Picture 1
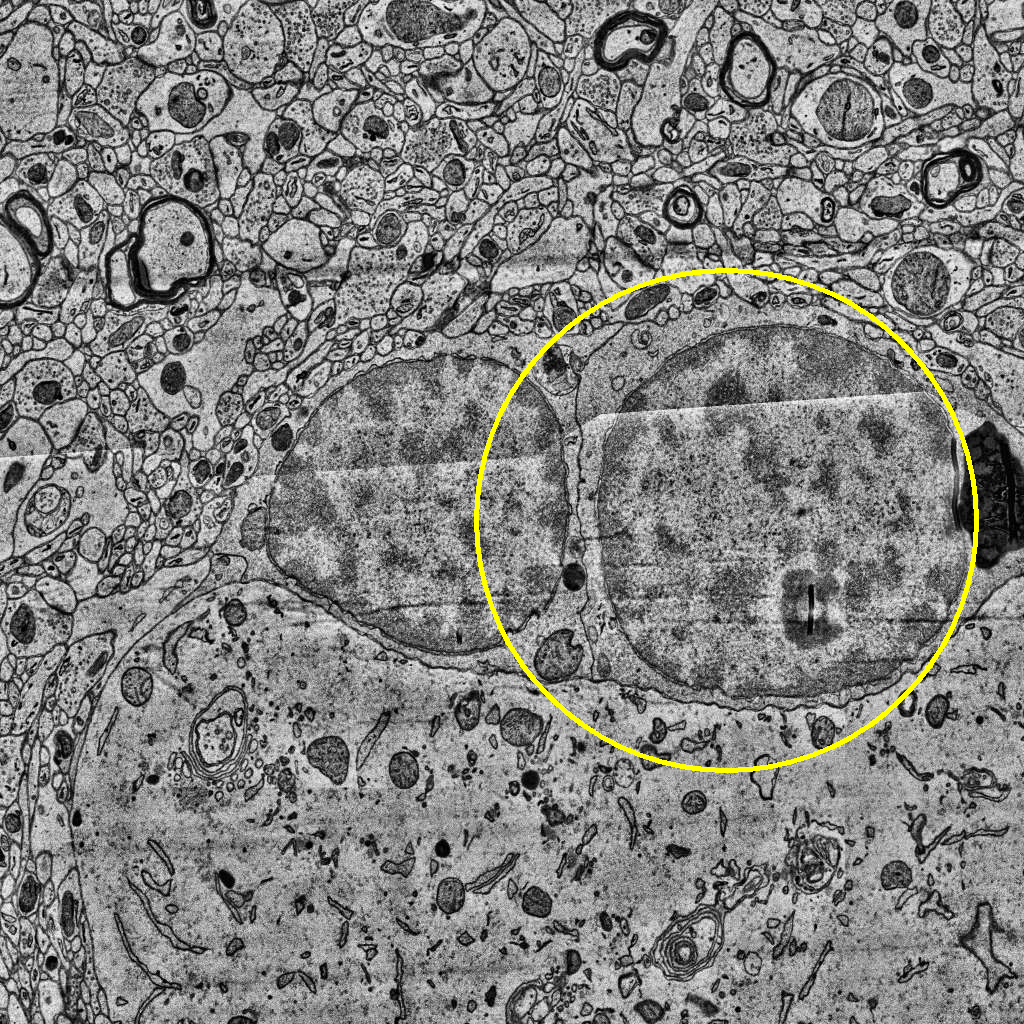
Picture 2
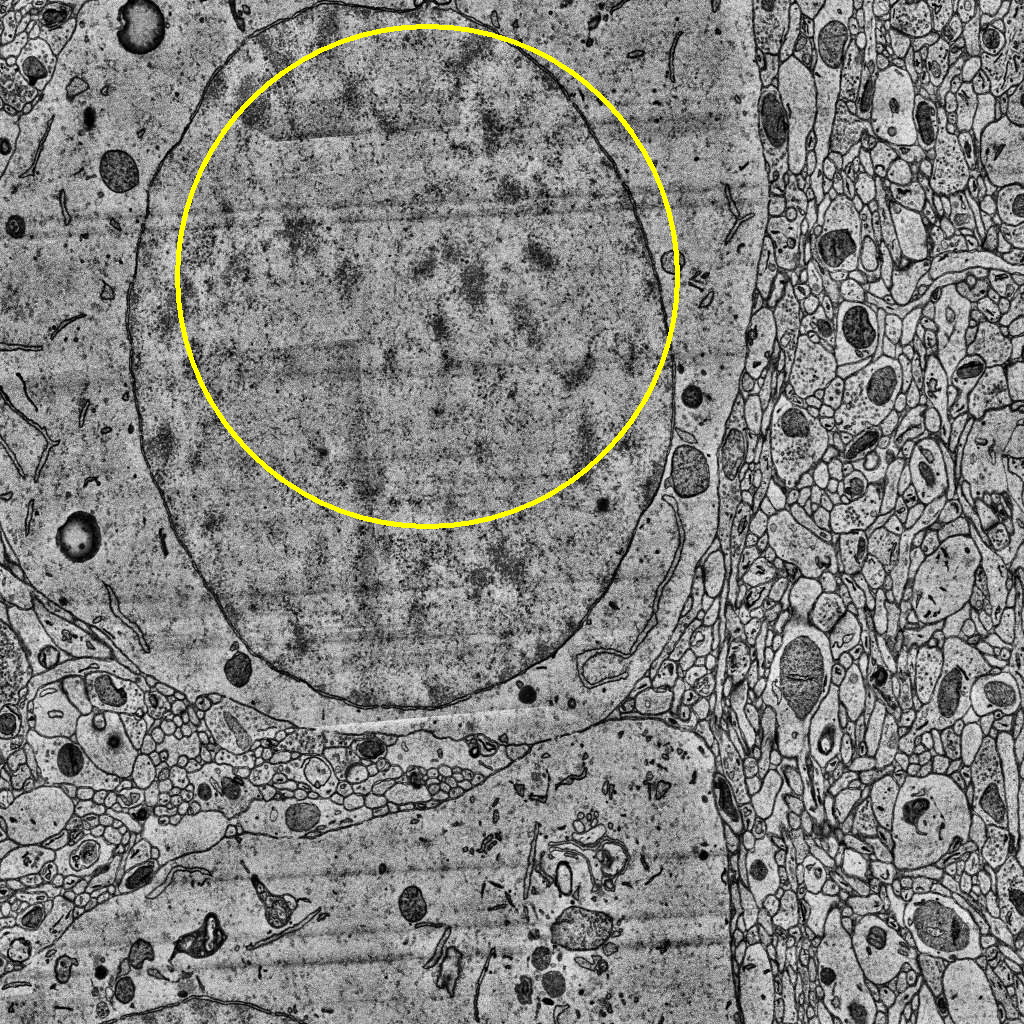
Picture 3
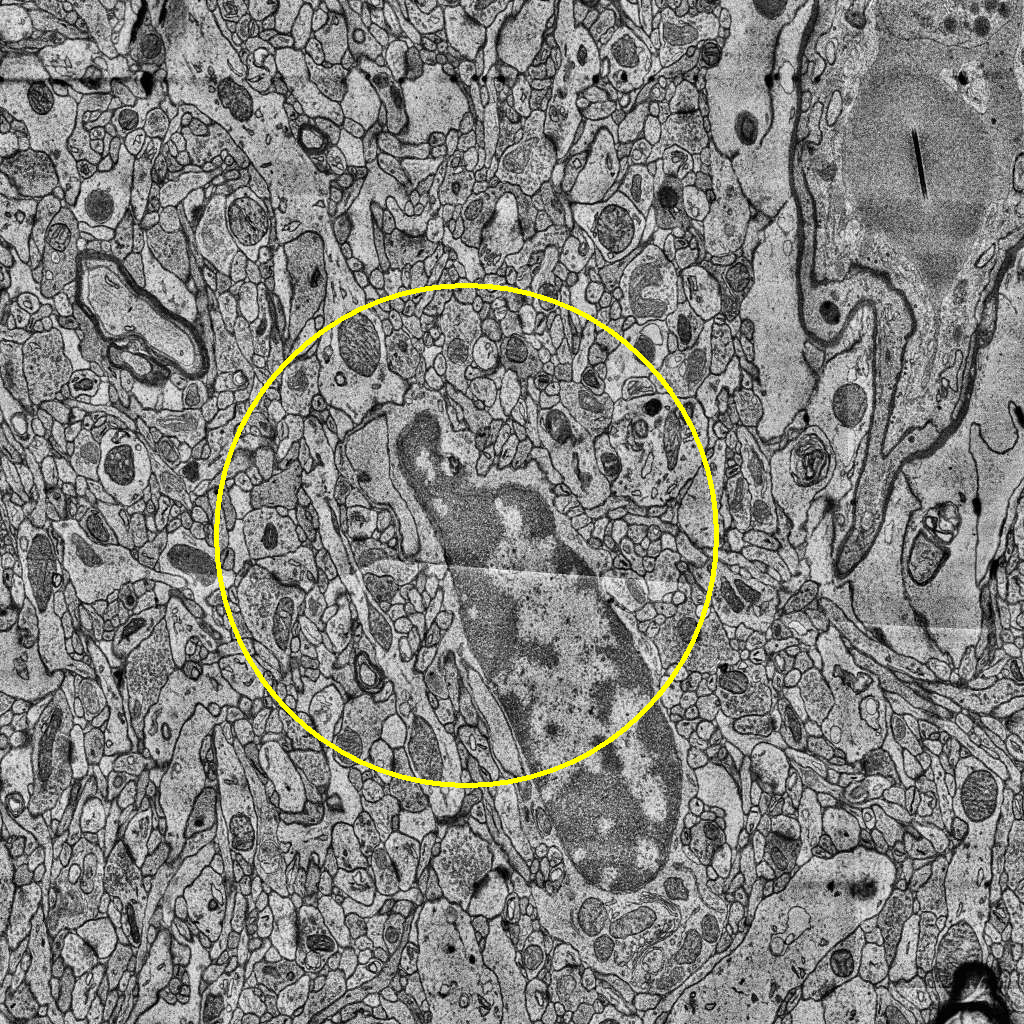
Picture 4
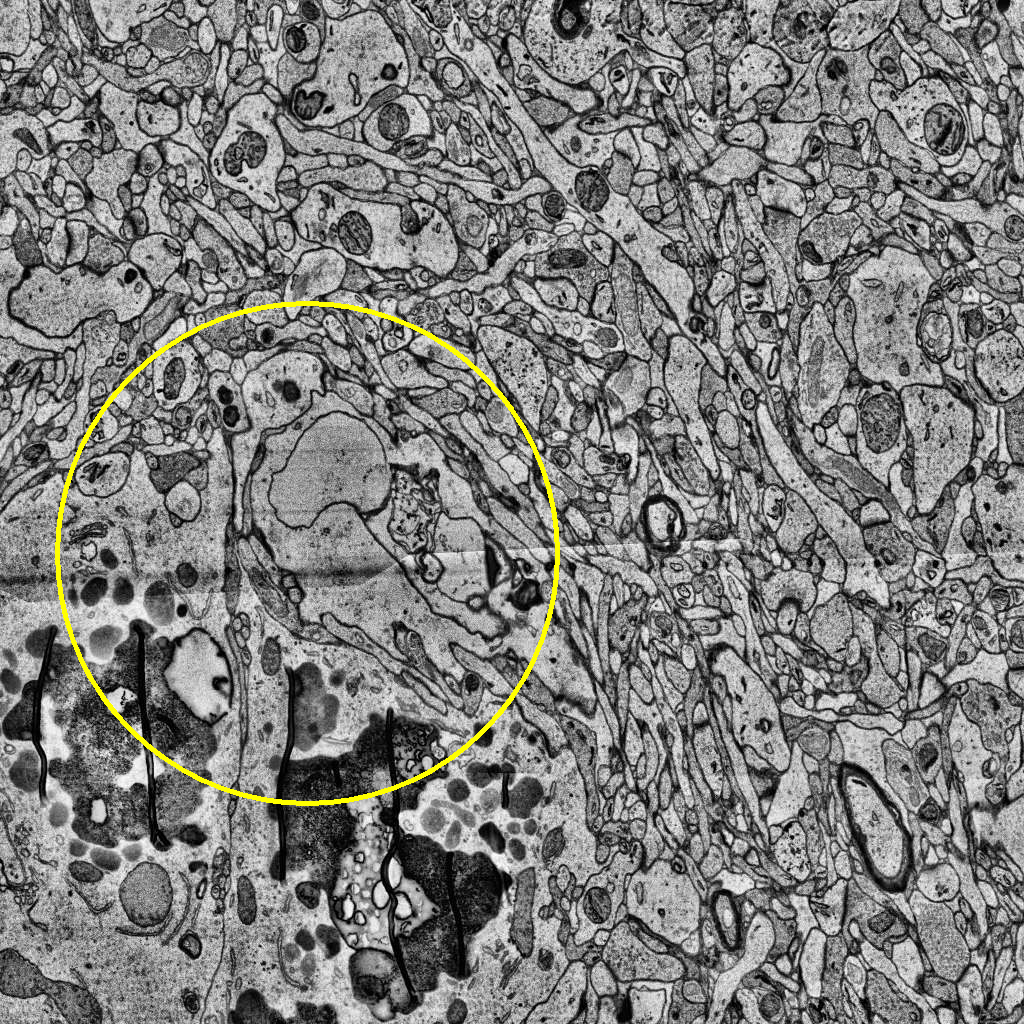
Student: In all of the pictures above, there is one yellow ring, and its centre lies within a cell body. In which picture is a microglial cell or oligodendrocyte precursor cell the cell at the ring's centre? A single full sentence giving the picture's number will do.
Picture number 3 has the centre of its ring lying inside the wanted cell.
